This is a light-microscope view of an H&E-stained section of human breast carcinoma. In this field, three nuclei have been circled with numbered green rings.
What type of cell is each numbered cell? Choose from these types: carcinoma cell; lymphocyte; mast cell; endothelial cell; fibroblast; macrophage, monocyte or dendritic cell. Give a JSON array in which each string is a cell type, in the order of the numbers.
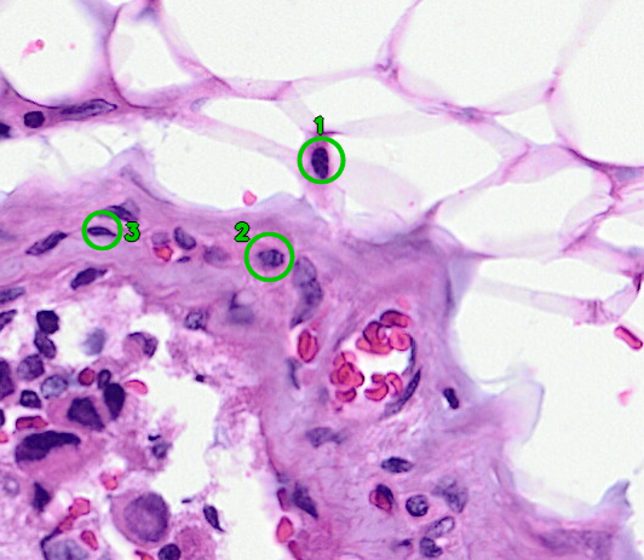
["mast cell", "mast cell", "fibroblast"]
